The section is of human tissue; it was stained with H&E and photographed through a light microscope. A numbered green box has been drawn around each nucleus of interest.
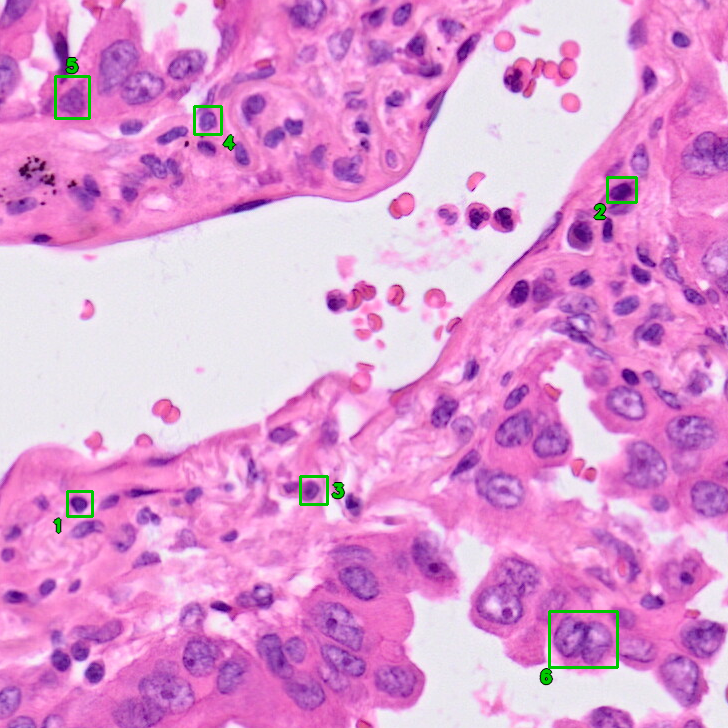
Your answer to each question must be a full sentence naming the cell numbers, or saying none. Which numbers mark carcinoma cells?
The cells that bear the numbers 5 and 6 are carcinoma cells.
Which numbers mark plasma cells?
The cells referred to by the numbers 2 and 3 are plasma cells.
